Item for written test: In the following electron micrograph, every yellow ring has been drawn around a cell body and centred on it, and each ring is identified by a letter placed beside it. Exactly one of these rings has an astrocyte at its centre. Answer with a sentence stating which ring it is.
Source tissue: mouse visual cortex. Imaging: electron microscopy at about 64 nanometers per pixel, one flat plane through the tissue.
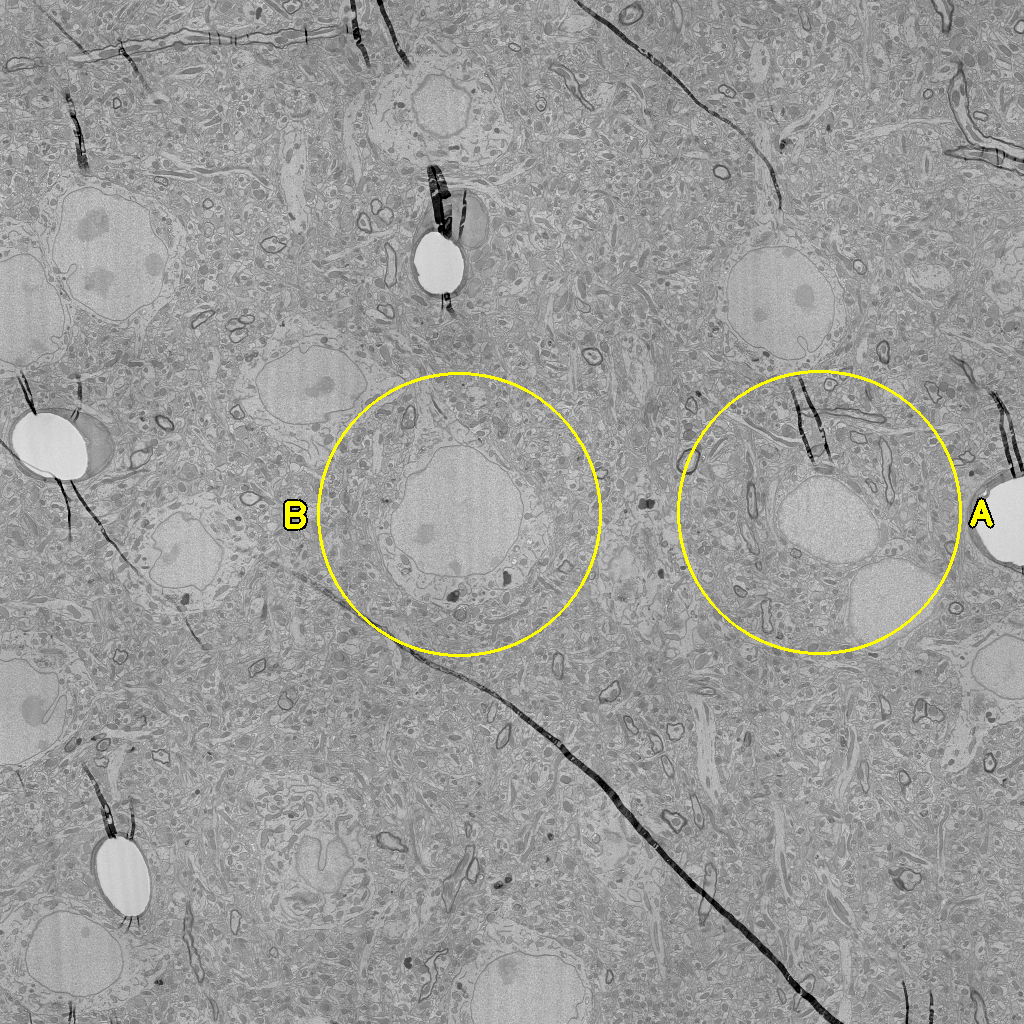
It is ring A.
